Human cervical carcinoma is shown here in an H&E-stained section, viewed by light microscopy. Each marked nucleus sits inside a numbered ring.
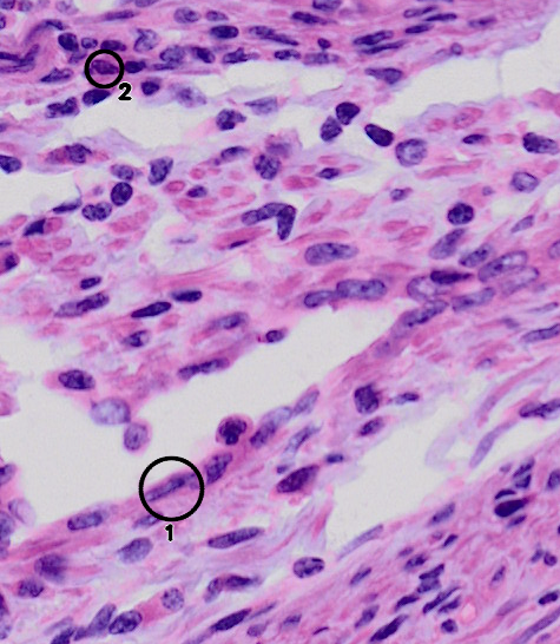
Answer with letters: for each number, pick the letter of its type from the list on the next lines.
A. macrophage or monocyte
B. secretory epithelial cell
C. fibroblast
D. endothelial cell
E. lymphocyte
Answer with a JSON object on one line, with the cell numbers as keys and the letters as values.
{"1": "D", "2": "E"}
